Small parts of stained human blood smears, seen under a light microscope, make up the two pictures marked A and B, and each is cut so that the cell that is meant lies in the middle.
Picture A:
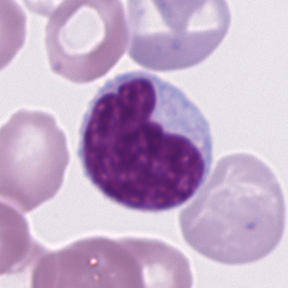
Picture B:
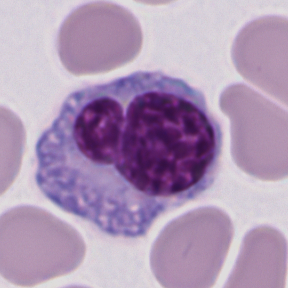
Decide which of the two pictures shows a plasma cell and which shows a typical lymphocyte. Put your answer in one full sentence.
It is picture A that shows a typical lymphocyte, and picture B that shows a plasma cell.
